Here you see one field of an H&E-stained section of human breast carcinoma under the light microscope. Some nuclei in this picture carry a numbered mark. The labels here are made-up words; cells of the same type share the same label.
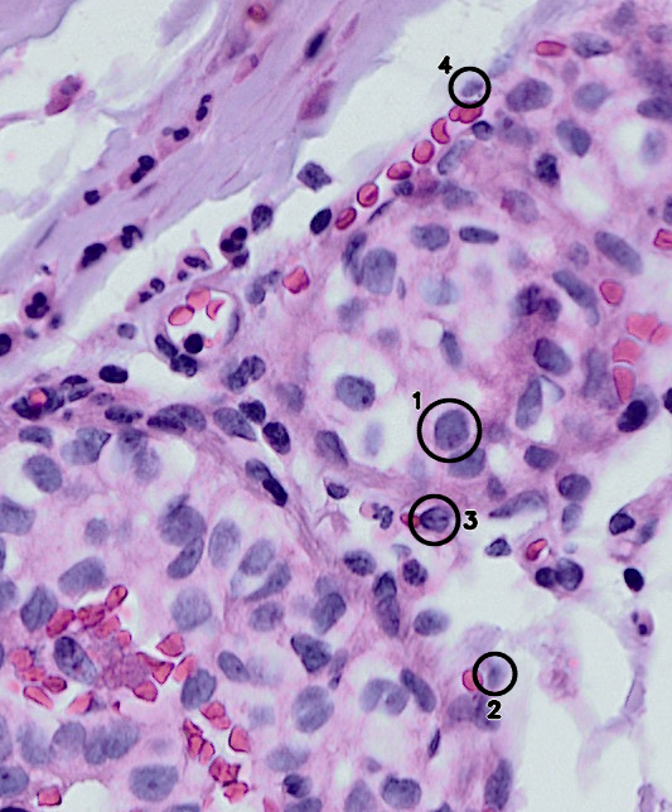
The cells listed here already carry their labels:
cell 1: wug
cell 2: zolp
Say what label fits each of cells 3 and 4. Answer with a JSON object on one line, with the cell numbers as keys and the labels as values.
{"3": "zolp", "4": "zolp"}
